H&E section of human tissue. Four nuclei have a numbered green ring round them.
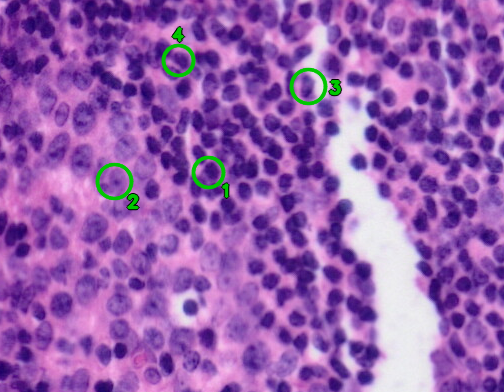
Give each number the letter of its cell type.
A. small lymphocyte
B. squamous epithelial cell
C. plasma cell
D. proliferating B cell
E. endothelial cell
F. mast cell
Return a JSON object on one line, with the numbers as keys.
{"1": "A", "2": "D", "3": "A", "4": "A"}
